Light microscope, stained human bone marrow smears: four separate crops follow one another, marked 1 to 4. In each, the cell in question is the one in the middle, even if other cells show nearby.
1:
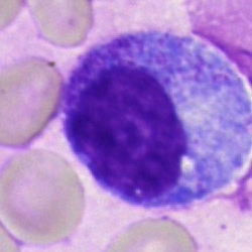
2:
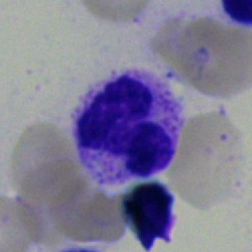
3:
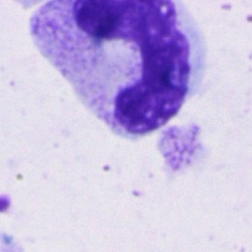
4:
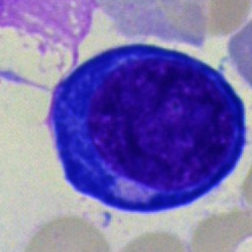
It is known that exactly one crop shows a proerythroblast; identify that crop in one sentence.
Here the crop that shows a proerythroblast is crop 4.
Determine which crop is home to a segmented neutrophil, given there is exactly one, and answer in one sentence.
Only in crop 2 is a segmented neutrophil shown.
